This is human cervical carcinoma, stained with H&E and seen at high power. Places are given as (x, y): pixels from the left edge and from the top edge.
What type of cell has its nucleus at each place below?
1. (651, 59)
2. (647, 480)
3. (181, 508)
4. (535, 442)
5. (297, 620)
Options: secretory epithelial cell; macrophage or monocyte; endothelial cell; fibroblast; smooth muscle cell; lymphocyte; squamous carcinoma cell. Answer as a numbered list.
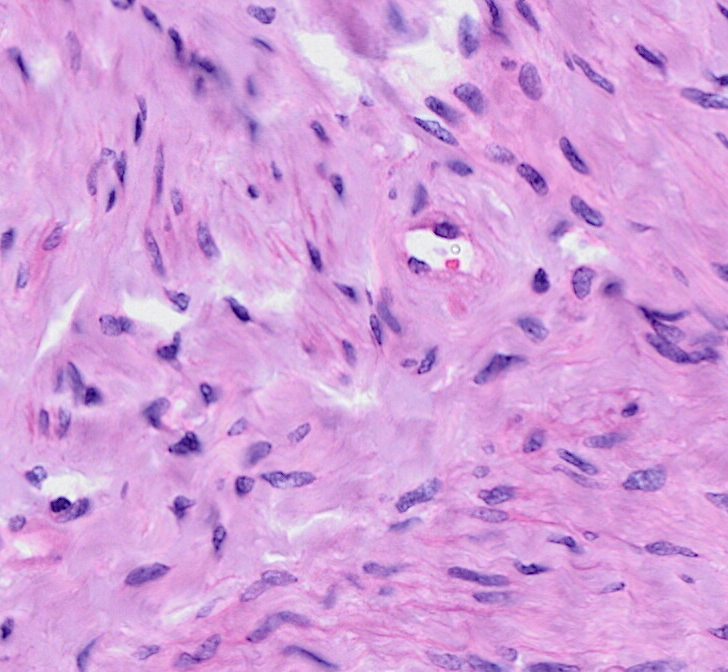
1. fibroblast
2. smooth muscle cell
3. fibroblast
4. smooth muscle cell
5. smooth muscle cell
